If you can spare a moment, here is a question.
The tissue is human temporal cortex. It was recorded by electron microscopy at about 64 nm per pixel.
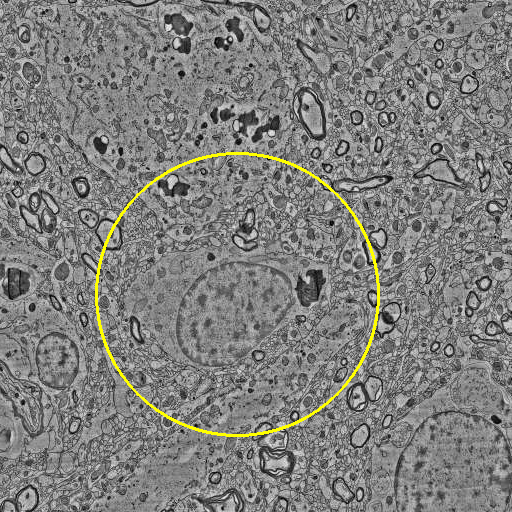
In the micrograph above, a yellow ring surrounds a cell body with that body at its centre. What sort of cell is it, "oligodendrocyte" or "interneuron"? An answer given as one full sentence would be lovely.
Centred inside the yellow ring, the cell body shown belongs to an oligodendrocyte in this micrograph.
